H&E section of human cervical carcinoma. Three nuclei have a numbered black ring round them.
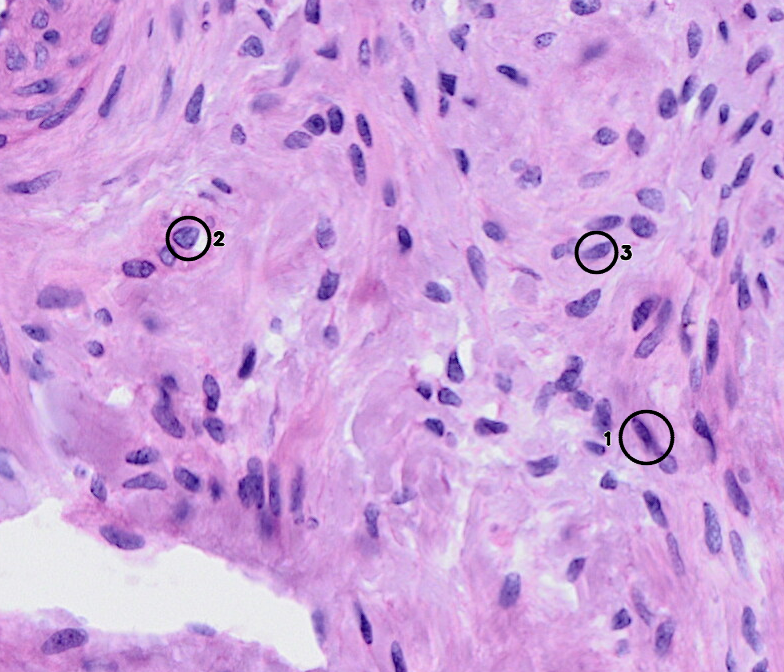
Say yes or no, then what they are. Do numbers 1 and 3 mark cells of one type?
Yes, the two numbered cells 1 and 3 are both fibroblasts.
